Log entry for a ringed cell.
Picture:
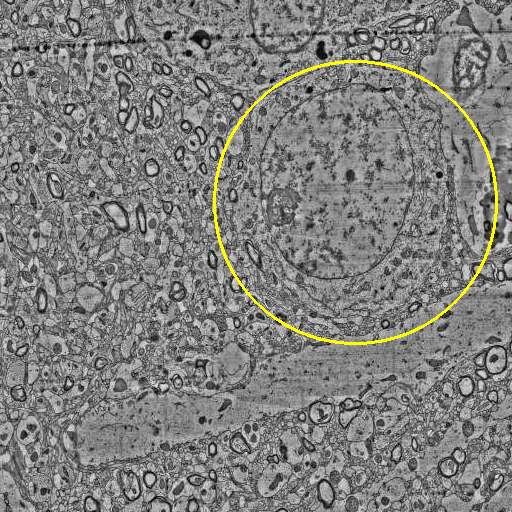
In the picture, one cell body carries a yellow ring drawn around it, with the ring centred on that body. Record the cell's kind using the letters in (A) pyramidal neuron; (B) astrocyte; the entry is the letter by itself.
A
